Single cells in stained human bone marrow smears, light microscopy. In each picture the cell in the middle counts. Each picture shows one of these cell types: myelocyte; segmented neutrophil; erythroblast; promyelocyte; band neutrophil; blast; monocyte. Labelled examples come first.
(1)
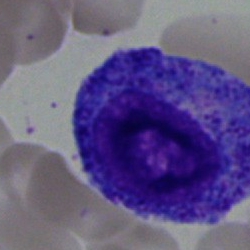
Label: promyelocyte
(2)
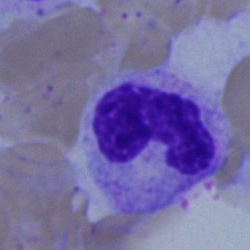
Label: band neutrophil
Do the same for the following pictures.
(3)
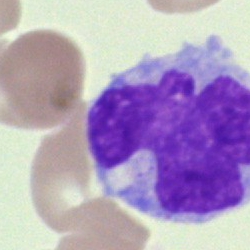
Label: monocyte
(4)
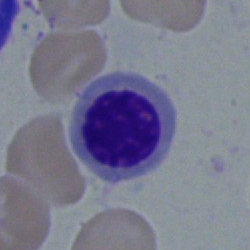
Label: erythroblast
